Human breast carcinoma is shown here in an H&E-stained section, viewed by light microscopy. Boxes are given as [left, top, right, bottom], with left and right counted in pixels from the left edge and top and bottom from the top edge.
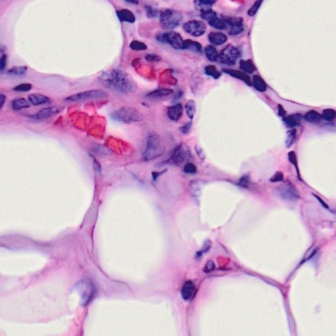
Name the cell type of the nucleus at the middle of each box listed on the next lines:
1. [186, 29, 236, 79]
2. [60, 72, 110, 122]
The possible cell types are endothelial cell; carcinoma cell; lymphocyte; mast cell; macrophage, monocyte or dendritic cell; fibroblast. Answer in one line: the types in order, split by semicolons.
lymphocyte; endothelial cell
